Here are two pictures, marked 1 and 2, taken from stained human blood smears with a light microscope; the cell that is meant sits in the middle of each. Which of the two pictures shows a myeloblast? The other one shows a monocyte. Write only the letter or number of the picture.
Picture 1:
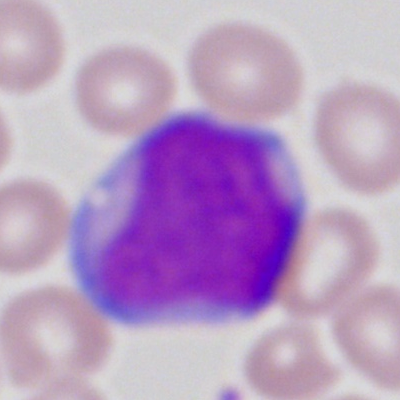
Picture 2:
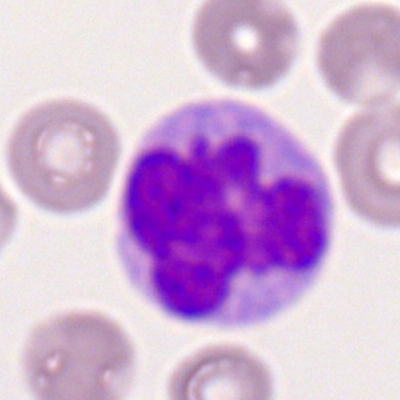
1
